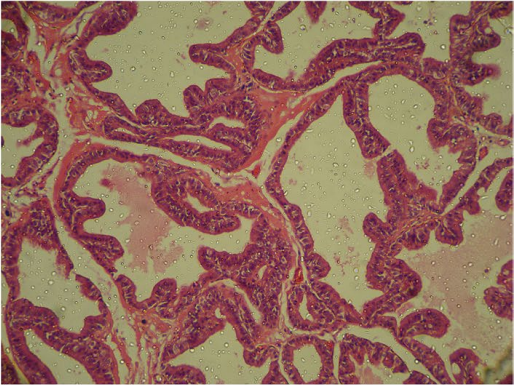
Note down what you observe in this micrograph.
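Prostatic glands whose epithelial lining is thrown into numerous papillary folds projecting into the lumina. The lining cells are tall and closely packed, with purple nuclei and pink cytoplasm, and the gland outlines are irregular and convoluted. The lumina contain pale pink secretion, and thin strands of pink fibromuscular stroma run between the crowded glands.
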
